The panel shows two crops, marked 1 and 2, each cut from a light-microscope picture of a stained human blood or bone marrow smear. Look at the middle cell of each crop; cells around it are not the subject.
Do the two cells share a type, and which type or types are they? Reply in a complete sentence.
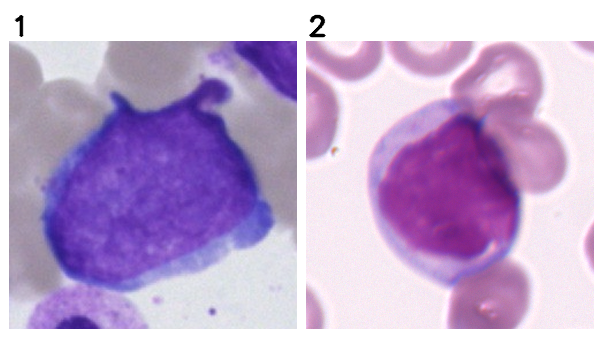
Yes, the pair of crops both show blasts.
